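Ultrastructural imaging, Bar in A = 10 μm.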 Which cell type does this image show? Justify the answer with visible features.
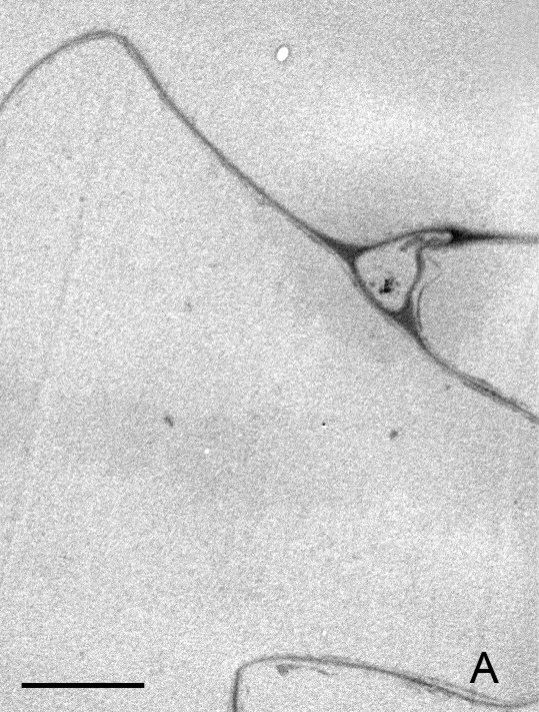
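Parenchymatic cells. Very large cells with thin, smooth, dark-outlined walls. The cell interiors are evenly pale with almost no visible contents. Neighbouring cells abut each other closely.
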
